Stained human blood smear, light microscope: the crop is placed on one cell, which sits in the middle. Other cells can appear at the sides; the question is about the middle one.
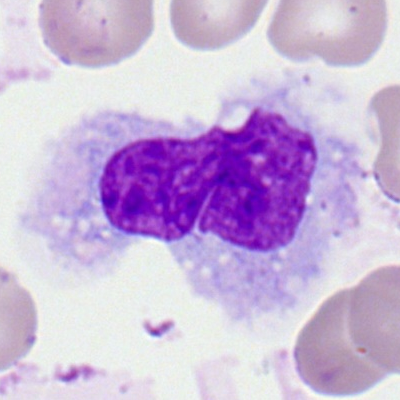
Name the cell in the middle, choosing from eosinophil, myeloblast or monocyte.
monocyte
